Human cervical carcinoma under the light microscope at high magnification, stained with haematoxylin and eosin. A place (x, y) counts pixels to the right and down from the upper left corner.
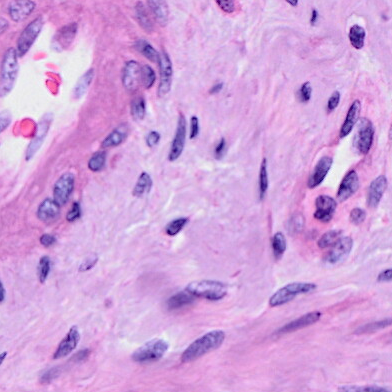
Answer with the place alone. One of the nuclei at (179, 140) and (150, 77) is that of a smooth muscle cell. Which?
(150, 77)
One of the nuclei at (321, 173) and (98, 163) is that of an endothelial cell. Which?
(321, 173)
